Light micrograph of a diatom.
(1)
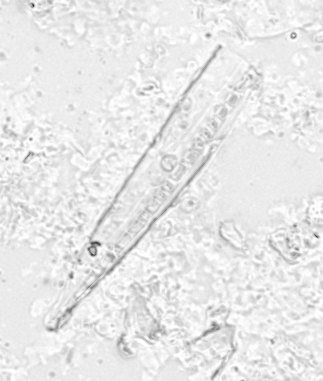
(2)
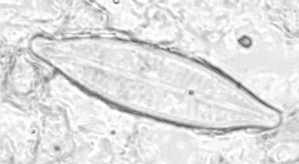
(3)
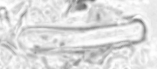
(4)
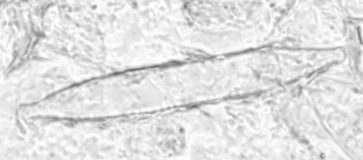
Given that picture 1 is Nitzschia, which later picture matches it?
4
